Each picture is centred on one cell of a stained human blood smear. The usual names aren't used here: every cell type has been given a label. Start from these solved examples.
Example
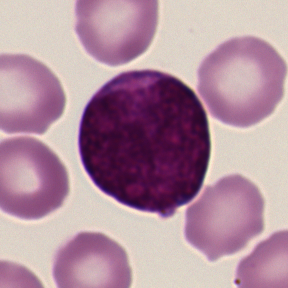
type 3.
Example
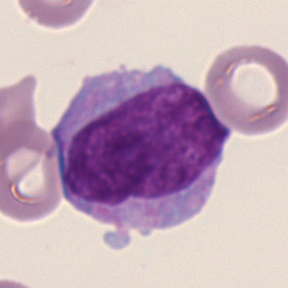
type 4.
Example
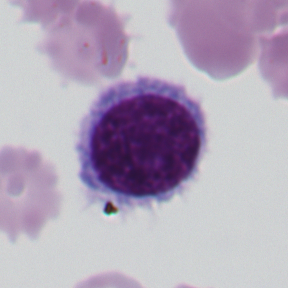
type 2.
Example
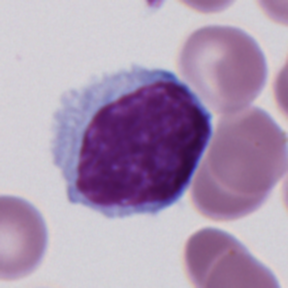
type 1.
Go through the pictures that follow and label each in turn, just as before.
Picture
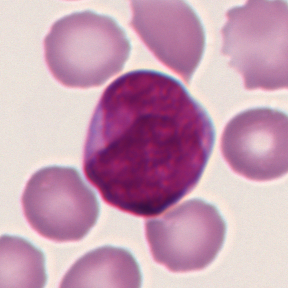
type 3.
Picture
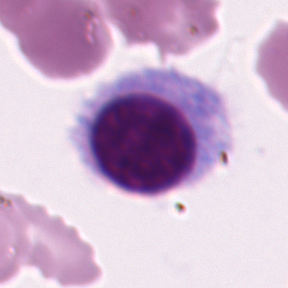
type 2.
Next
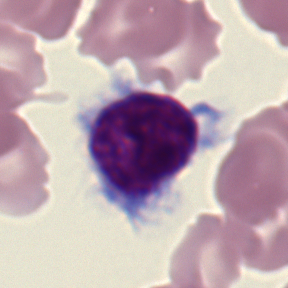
type 2.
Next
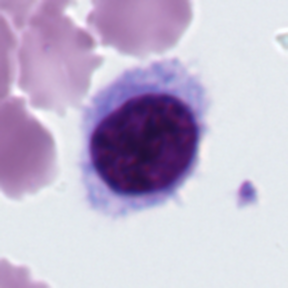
type 2.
